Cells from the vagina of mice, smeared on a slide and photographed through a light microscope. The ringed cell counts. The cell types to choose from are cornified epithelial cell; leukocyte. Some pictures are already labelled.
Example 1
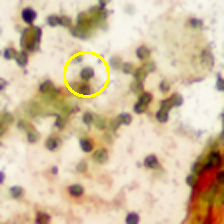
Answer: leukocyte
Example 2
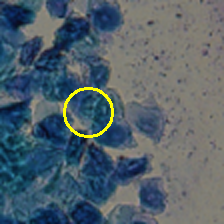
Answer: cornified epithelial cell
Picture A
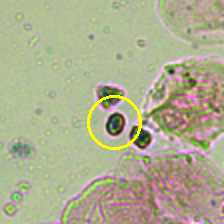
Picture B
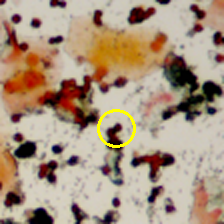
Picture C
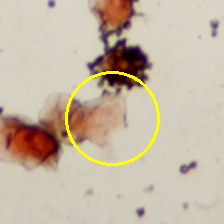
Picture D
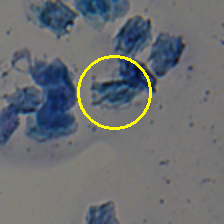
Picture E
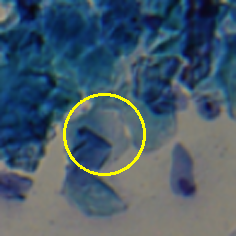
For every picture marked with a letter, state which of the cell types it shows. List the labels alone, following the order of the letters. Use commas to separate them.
leukocyte, leukocyte, cornified epithelial cell, cornified epithelial cell, cornified epithelial cell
